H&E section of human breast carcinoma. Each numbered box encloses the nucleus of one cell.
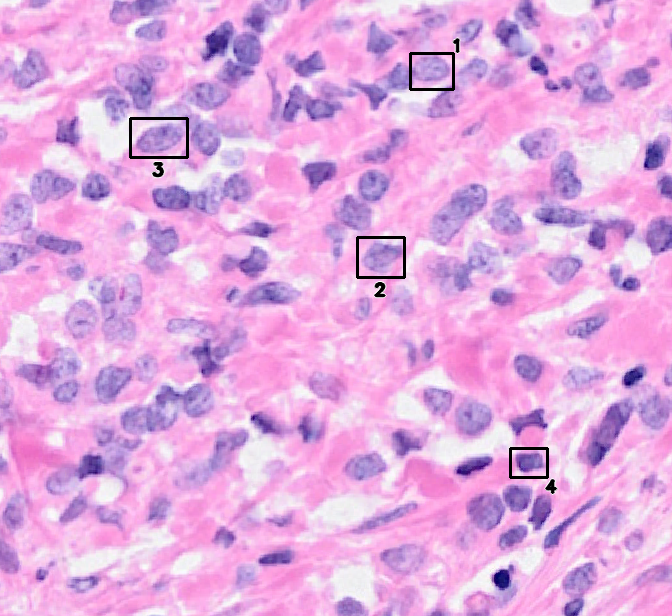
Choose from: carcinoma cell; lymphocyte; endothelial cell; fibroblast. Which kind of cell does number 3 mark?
carcinoma cell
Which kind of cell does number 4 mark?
lymphocyte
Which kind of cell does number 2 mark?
carcinoma cell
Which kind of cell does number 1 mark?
carcinoma cell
